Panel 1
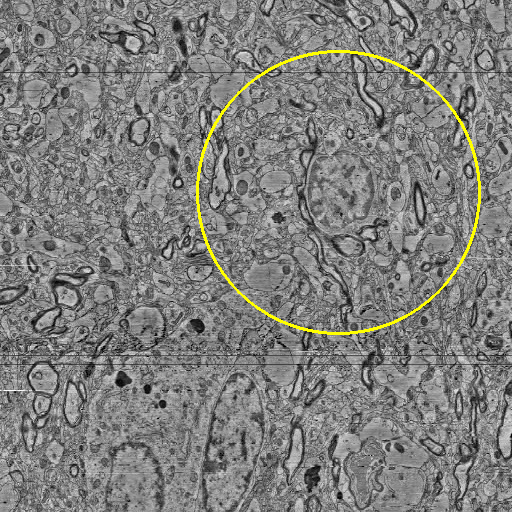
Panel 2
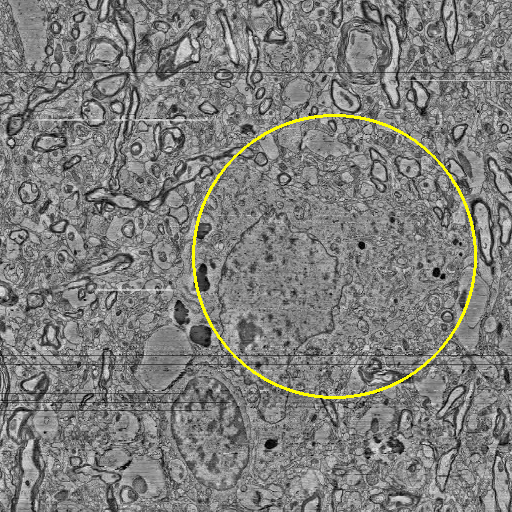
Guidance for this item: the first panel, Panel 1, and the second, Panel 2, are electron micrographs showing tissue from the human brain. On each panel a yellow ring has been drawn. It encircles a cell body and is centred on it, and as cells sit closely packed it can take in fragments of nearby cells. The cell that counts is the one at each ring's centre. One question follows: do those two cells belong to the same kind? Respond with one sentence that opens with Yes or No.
No, the cells at the ring centres in Panel 1 and Panel 2 are of two kinds.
